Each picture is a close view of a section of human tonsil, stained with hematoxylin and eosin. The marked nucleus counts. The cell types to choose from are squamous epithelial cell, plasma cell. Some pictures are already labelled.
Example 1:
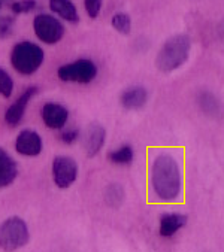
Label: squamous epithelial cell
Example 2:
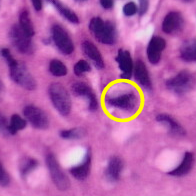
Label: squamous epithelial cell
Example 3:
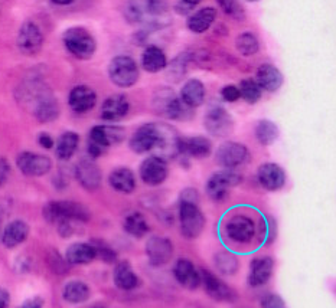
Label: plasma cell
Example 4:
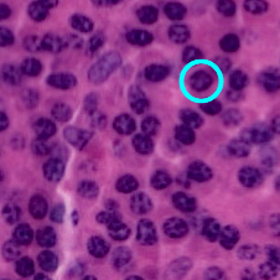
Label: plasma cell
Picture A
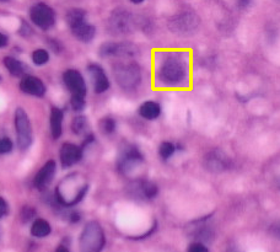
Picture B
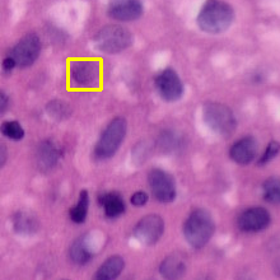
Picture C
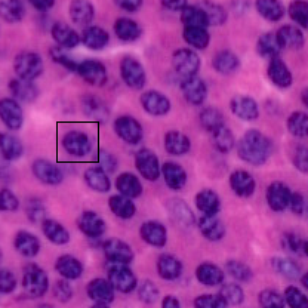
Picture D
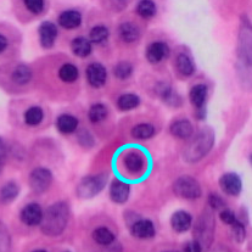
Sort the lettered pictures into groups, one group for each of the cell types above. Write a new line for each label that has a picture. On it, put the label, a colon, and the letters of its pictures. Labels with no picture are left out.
squamous epithelial cell: A, B
plasma cell: C, D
